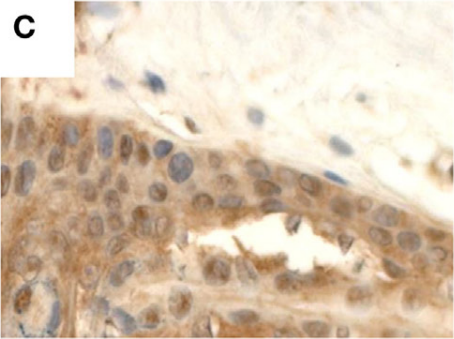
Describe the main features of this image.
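Around the nuclei the cytoplasm is stained a fairly even light brown, so the cell borders are hard to pick out. Several layers of cells stack on top of each other beside the cleft-like lumen. Above the epithelium lies pale, loosely textured connective tissue with only a few scattered blue nuclei.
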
